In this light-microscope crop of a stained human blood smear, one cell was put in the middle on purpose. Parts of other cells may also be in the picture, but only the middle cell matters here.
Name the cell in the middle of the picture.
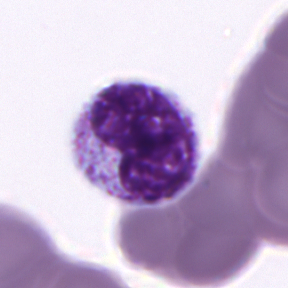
metamyelocyte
